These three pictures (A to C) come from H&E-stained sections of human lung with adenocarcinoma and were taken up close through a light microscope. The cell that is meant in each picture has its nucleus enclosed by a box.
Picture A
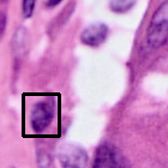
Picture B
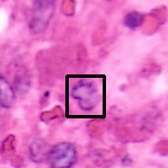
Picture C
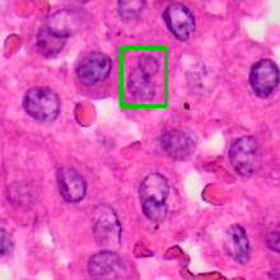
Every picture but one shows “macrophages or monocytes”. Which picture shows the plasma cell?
A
